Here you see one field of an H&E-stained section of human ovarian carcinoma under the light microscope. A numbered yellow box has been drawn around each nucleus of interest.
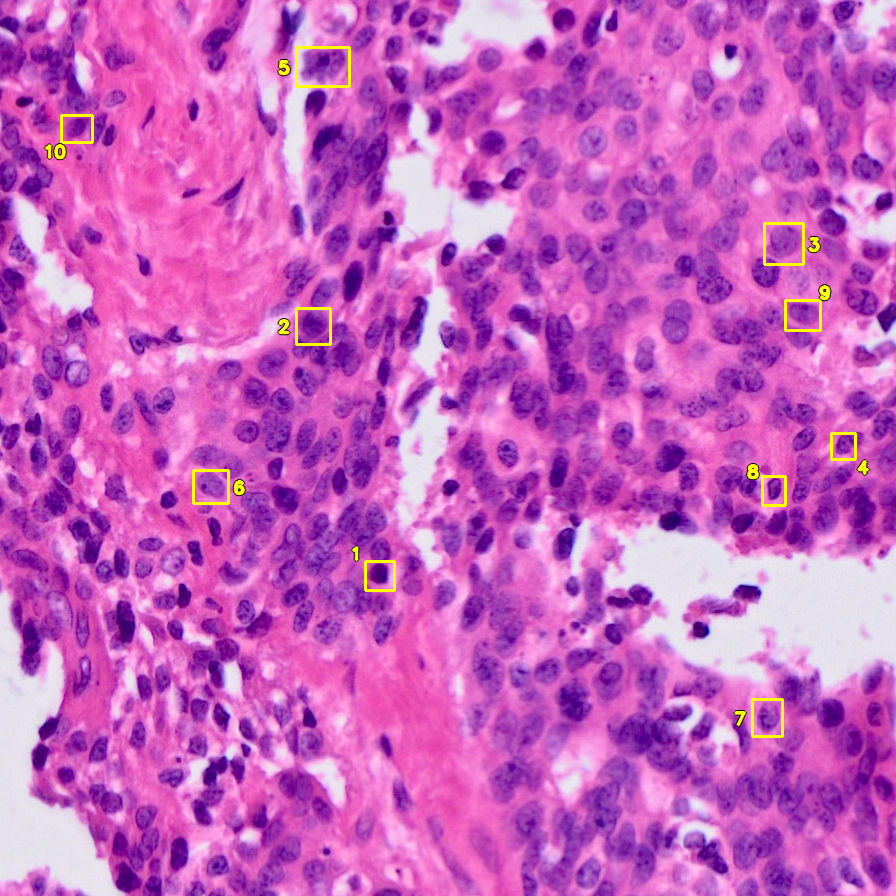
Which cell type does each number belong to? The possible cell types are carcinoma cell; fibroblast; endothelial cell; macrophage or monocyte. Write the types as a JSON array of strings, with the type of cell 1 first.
["carcinoma cell", "carcinoma cell", "carcinoma cell", "macrophage or monocyte", "carcinoma cell", "macrophage or monocyte", "macrophage or monocyte", "macrophage or monocyte", "carcinoma cell", "carcinoma cell"]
